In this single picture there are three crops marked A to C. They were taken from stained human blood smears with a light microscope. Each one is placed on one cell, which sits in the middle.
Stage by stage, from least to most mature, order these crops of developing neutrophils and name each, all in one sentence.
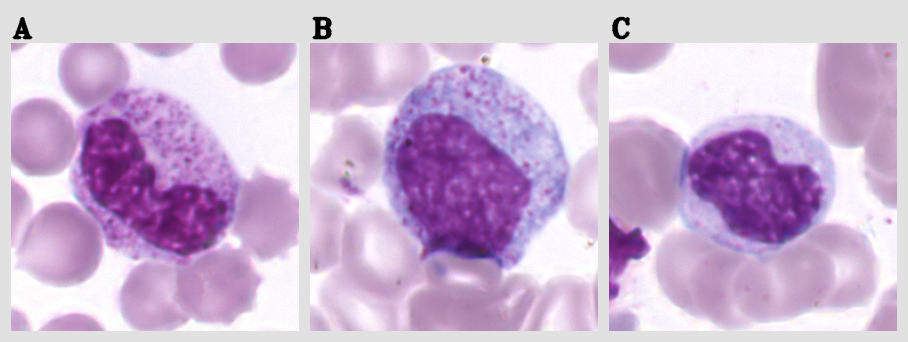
The correct order from least to most mature is crop B (a promyelocyte), crop C (a metamyelocyte) and crop A (a band neutrophil).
